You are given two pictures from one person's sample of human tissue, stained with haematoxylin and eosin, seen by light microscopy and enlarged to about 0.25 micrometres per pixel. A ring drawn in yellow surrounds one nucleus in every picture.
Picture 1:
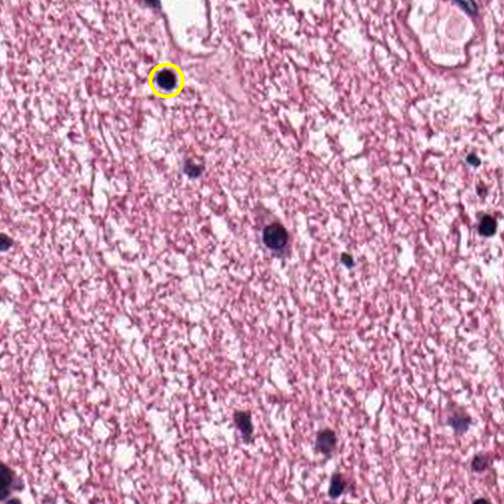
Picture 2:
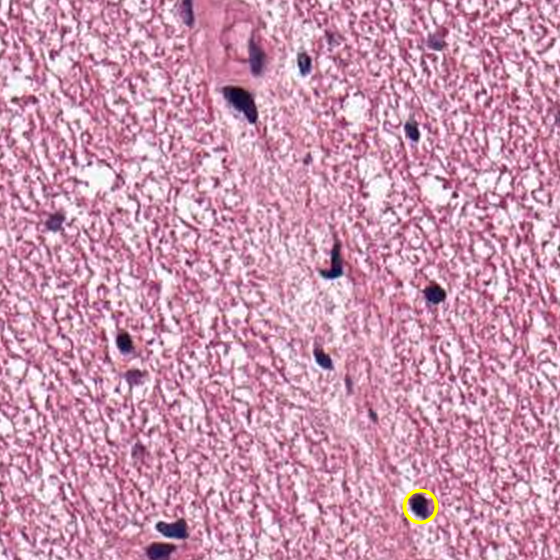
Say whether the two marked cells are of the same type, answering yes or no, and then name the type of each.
Yes, both are oligodendrocytes.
